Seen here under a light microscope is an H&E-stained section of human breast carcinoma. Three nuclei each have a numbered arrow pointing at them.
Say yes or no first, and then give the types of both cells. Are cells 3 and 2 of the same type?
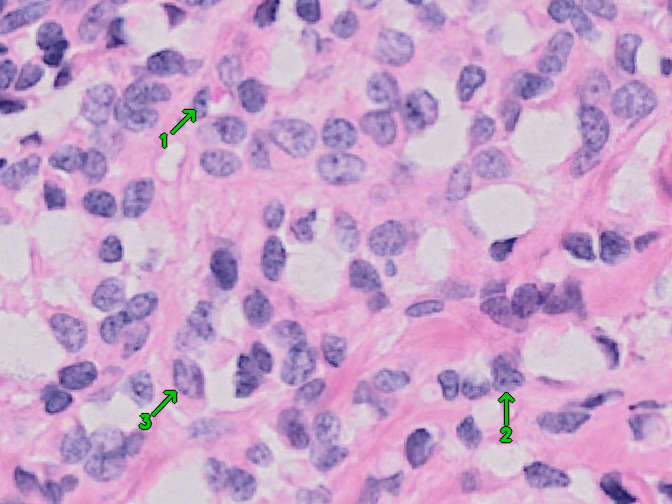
Yes, cells 3 and 2 are both identified as carcinoma cells.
